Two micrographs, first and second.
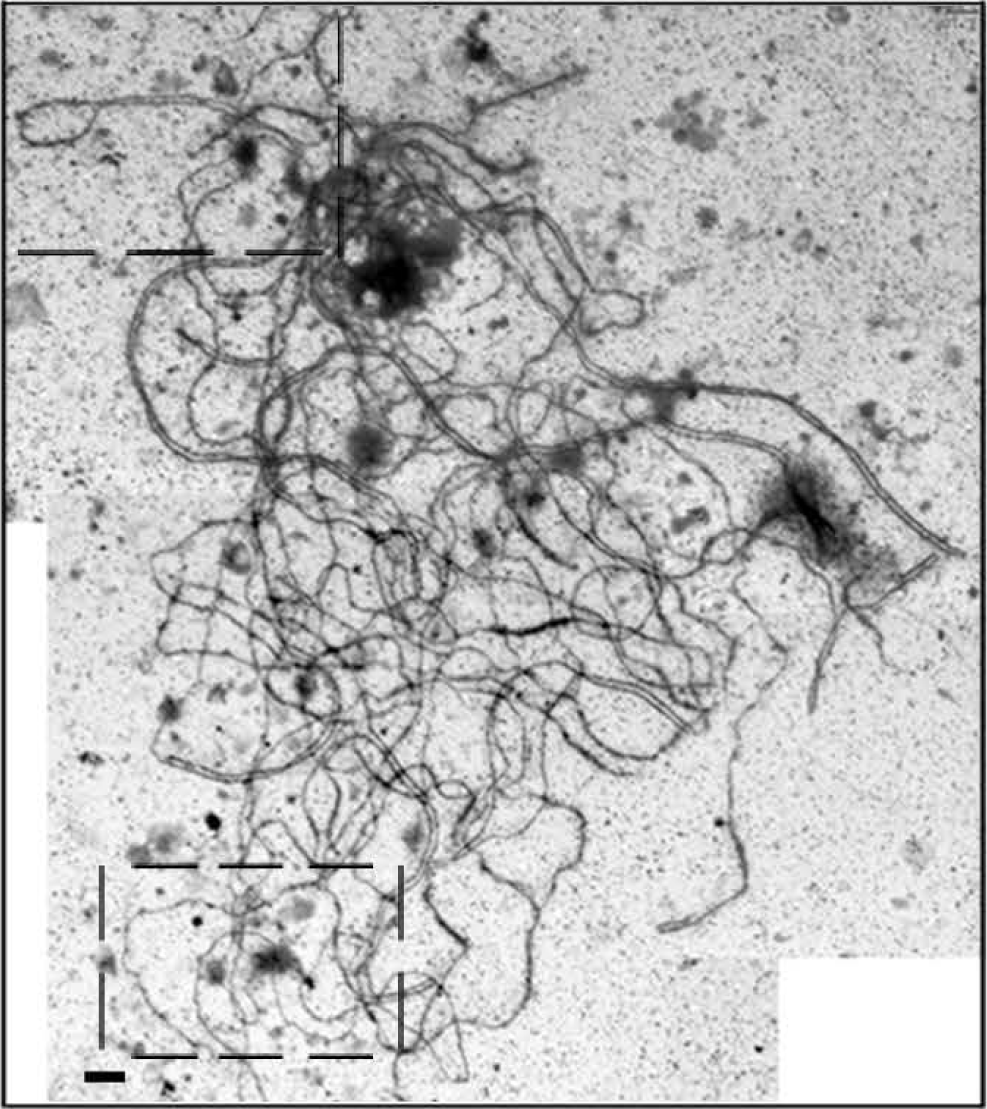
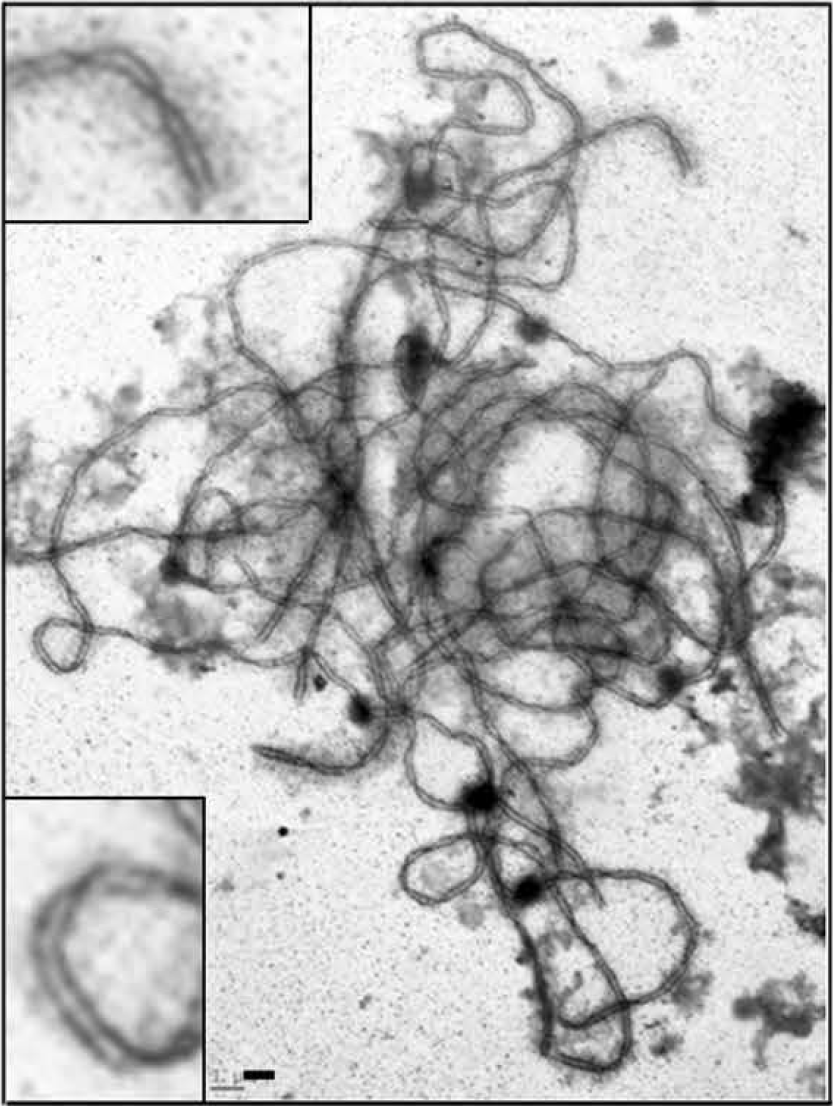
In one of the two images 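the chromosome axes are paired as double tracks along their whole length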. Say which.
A: the second image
